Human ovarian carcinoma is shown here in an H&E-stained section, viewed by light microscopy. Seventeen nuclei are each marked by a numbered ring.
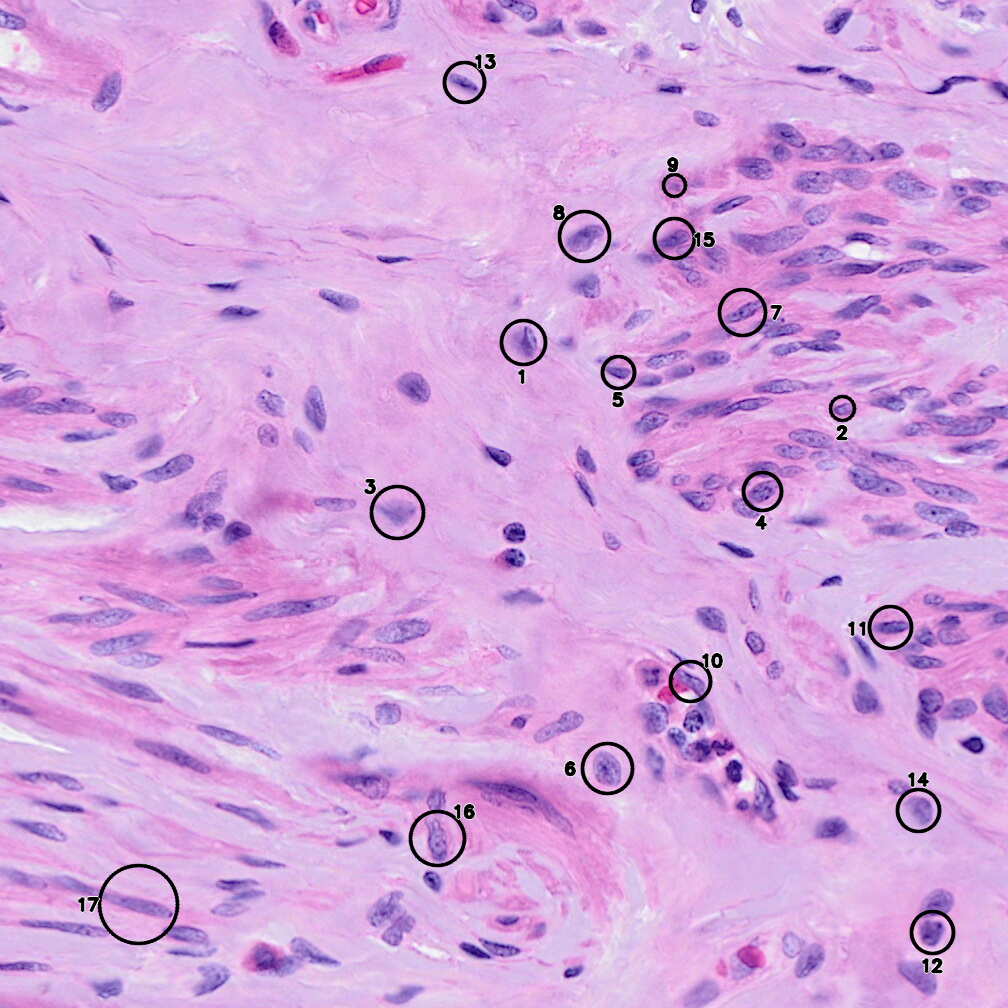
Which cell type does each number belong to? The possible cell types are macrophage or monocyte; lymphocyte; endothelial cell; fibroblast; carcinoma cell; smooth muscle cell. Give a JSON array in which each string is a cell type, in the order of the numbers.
["fibroblast", "smooth muscle cell", "fibroblast", "smooth muscle cell", "smooth muscle cell", "fibroblast", "smooth muscle cell", "fibroblast", "smooth muscle cell", "endothelial cell", "smooth muscle cell", "lymphocyte", "fibroblast", "fibroblast", "smooth muscle cell", "smooth muscle cell", "smooth muscle cell"]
